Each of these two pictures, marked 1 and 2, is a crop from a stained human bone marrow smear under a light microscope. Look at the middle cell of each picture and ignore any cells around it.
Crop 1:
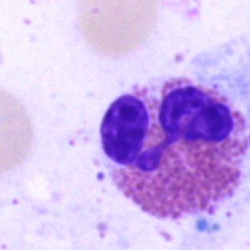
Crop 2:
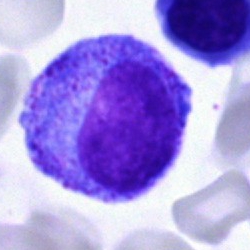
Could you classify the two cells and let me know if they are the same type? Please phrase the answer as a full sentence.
No, in crop 2 the central cell is a promyelocyte, and in crop 1 it is an eosinophil.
